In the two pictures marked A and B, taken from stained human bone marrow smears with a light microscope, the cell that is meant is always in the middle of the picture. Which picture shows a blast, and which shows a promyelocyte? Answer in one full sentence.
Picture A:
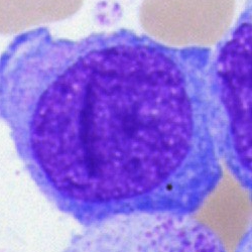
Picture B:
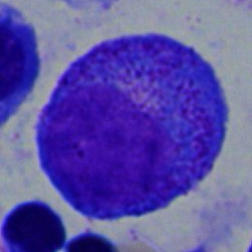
Picture B shows a promyelocyte, while picture A shows a blast.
